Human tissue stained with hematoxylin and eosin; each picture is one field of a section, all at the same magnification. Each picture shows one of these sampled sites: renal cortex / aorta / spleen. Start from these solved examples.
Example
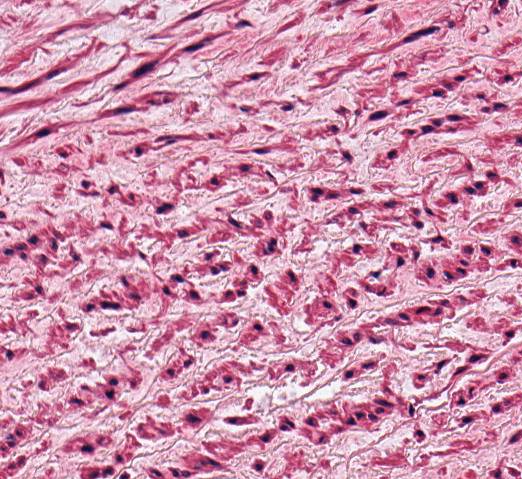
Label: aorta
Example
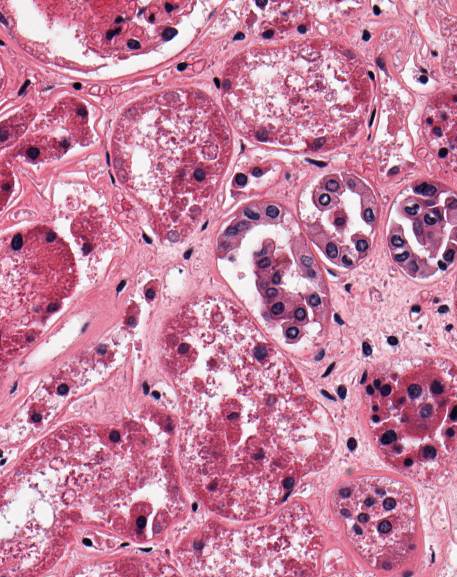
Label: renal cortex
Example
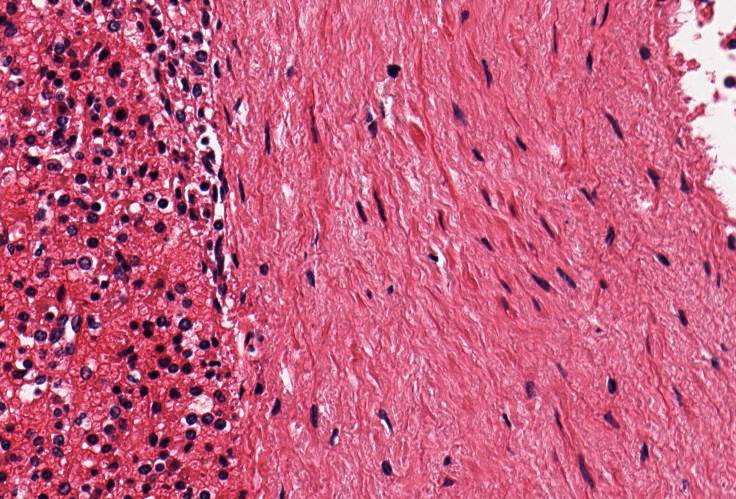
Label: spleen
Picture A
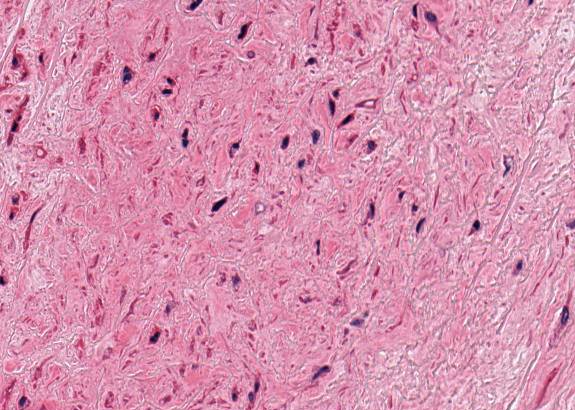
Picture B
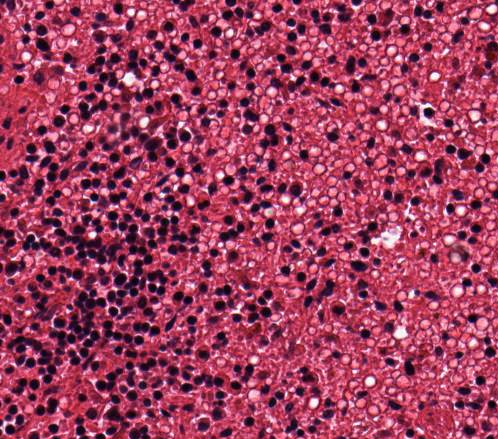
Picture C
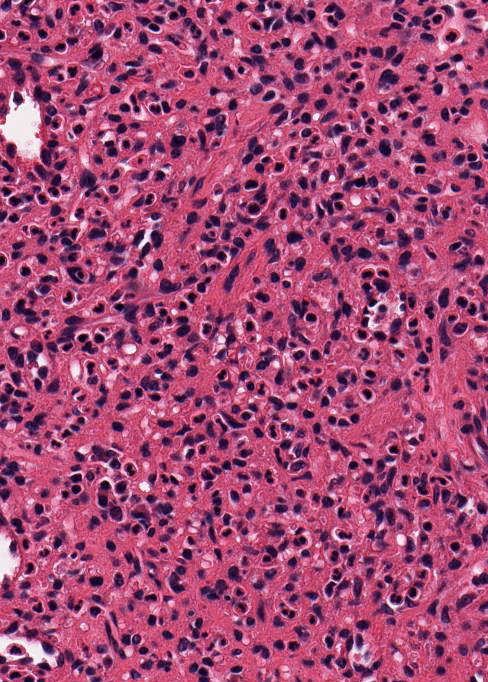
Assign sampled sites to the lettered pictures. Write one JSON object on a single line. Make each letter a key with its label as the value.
{"A": "aorta", "B": "spleen", "C": "spleen"}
